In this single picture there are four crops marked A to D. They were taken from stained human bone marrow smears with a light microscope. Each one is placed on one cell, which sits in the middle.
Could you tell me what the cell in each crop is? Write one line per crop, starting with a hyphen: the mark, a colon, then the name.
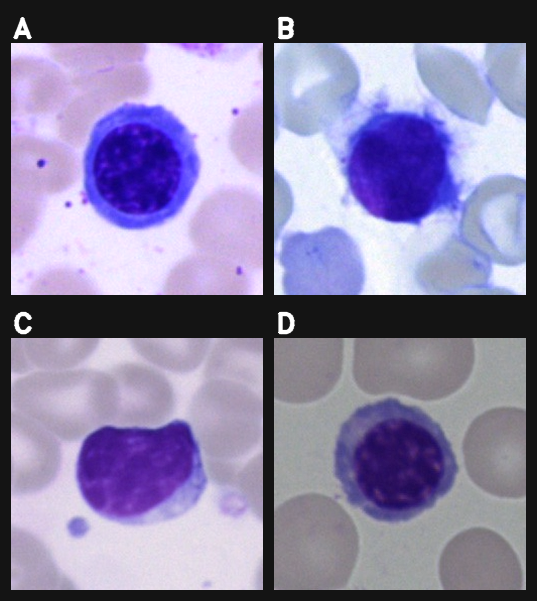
- A: erythroblast
- B: lymphocyte
- C: lymphocyte
- D: erythroblast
